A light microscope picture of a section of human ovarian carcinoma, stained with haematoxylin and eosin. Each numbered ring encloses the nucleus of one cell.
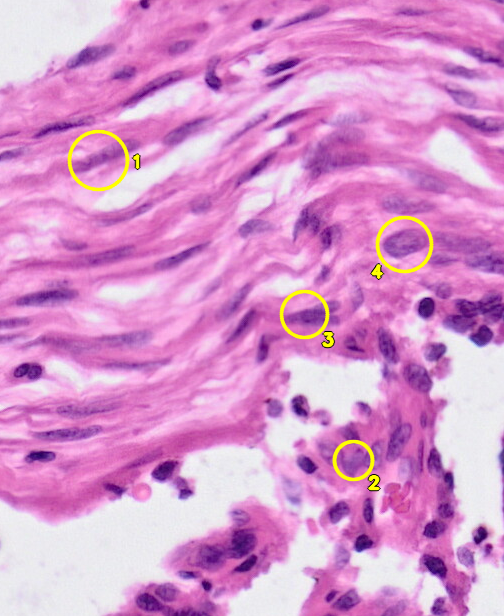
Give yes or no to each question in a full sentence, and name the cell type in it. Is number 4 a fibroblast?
Yes, the numbered nucleus 4 is that of a fibroblast.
